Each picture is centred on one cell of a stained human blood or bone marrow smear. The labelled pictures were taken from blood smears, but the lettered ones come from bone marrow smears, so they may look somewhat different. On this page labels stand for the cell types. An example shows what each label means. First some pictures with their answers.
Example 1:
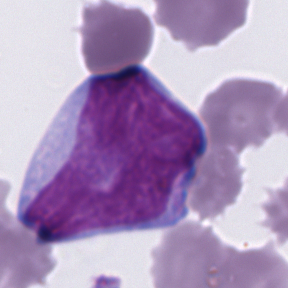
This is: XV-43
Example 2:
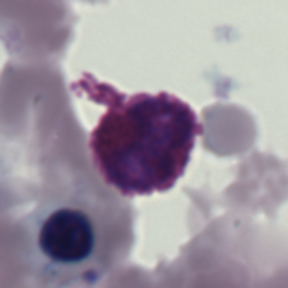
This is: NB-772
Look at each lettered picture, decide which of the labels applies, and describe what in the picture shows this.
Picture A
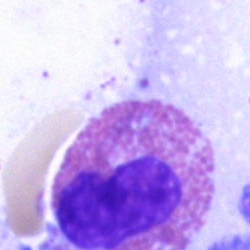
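Answer: NB-772. The cytoplasm is packed with coarse orange-pink granules.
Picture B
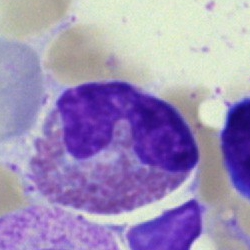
Answer: NB-772. The cytoplasm is plentiful and fills the lower half of the cell.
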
